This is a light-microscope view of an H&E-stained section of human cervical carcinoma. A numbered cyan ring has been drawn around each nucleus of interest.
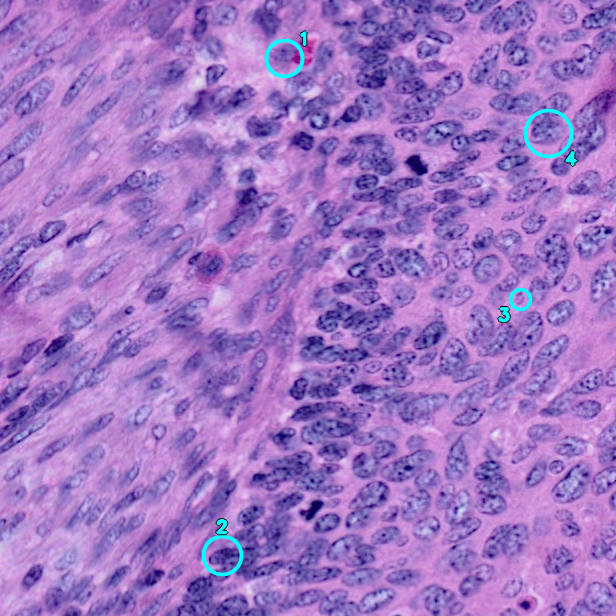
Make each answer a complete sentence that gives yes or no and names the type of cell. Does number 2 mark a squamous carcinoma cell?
Yes, the cell carrying number 2 is a squamous carcinoma cell.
